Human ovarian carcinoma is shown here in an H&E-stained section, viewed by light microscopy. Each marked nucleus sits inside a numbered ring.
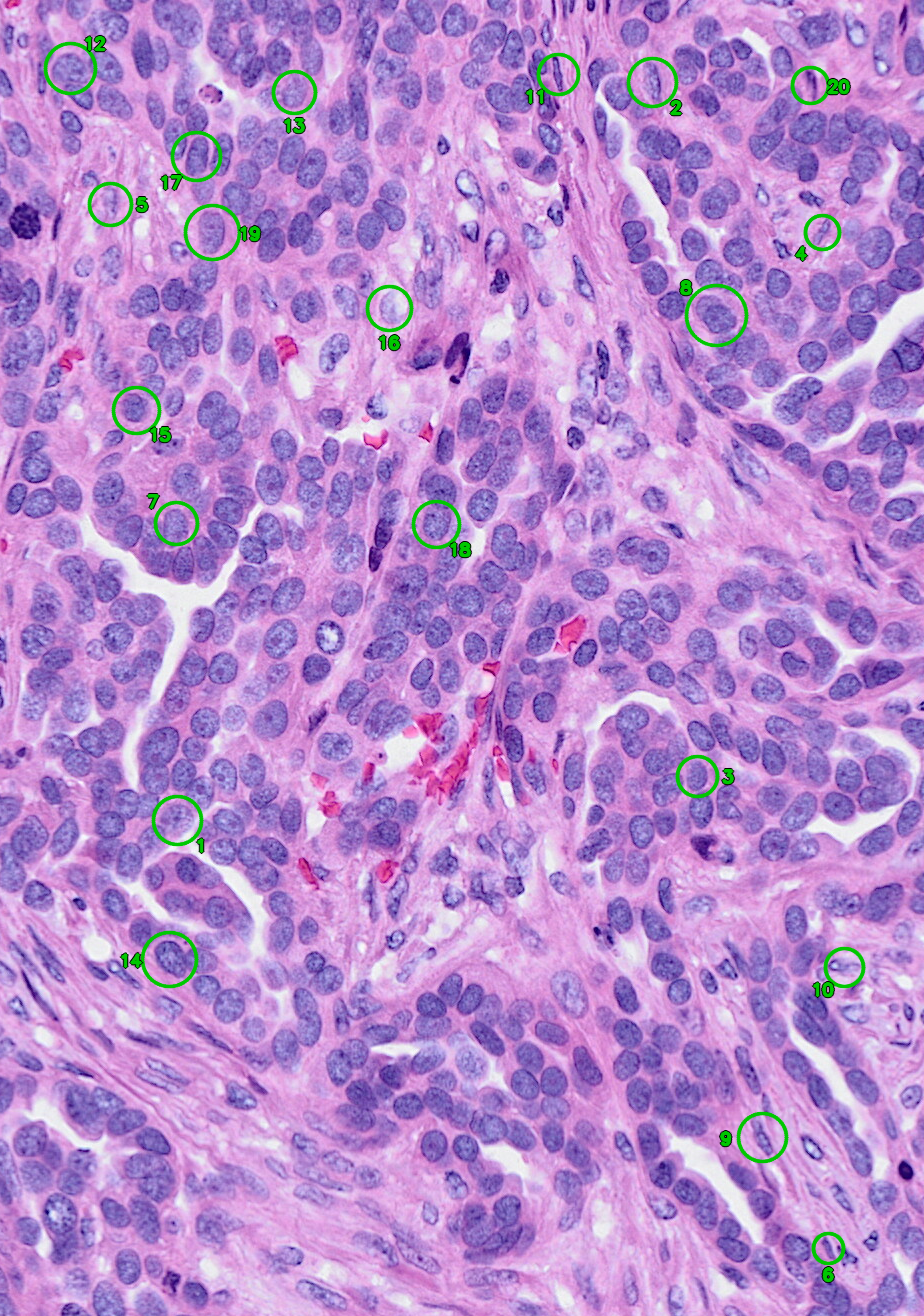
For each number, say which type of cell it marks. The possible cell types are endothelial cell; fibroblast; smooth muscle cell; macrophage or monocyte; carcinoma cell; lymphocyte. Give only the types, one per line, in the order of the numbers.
carcinoma cell
fibroblast
carcinoma cell
fibroblast
fibroblast
fibroblast
carcinoma cell
carcinoma cell
fibroblast
fibroblast
fibroblast
carcinoma cell
carcinoma cell
carcinoma cell
carcinoma cell
fibroblast
carcinoma cell
carcinoma cell
carcinoma cell
fibroblast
